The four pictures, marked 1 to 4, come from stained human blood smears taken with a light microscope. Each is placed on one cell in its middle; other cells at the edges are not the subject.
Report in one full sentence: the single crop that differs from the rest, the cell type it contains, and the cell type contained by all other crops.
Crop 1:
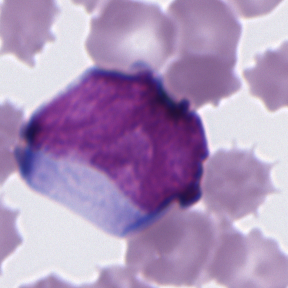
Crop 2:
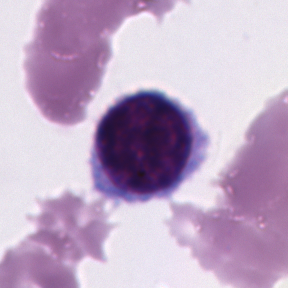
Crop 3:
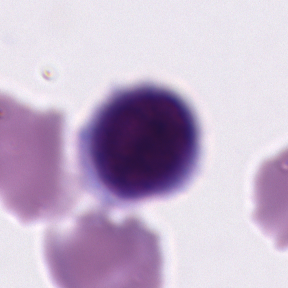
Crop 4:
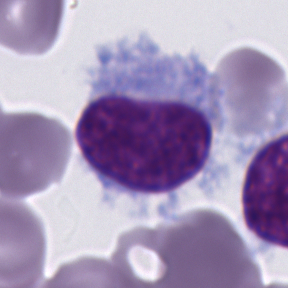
Among these crops, hairy cells occur in all but crop 1, which contains a blast.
